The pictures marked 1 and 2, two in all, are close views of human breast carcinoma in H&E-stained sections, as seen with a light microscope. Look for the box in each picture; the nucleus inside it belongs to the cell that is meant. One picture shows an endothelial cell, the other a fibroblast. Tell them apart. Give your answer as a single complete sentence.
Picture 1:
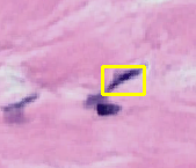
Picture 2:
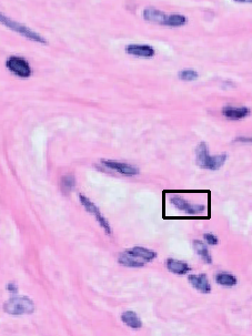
Picture 1 shows a fibroblast and picture 2 shows an endothelial cell.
